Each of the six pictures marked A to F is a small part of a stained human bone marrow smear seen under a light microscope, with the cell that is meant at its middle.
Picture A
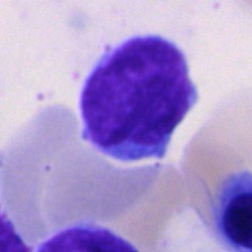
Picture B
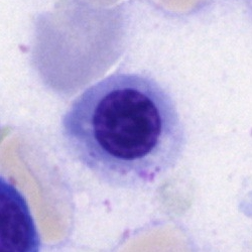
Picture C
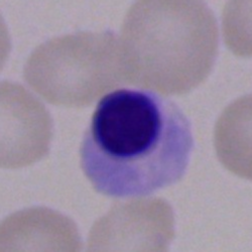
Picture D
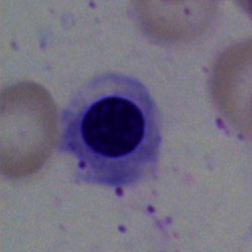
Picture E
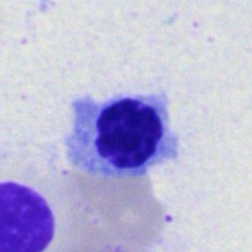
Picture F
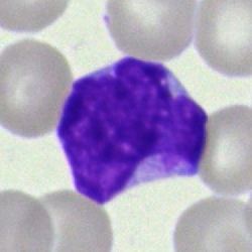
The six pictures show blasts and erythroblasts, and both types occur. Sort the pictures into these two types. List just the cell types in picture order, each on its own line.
blast
erythroblast
erythroblast
erythroblast
erythroblast
blast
